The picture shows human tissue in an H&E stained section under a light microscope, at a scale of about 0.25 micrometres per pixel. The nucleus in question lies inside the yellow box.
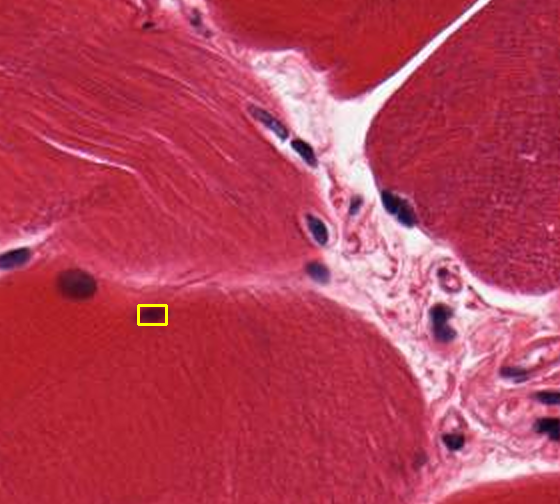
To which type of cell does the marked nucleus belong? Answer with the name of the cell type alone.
skeletal muscle fibre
